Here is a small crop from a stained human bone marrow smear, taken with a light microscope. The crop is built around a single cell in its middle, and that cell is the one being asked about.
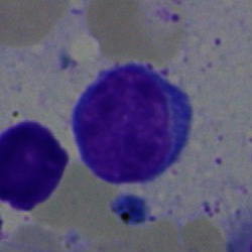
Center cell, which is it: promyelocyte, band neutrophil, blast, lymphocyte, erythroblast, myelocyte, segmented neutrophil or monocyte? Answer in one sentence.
In the center of this field lies a lymphocyte.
